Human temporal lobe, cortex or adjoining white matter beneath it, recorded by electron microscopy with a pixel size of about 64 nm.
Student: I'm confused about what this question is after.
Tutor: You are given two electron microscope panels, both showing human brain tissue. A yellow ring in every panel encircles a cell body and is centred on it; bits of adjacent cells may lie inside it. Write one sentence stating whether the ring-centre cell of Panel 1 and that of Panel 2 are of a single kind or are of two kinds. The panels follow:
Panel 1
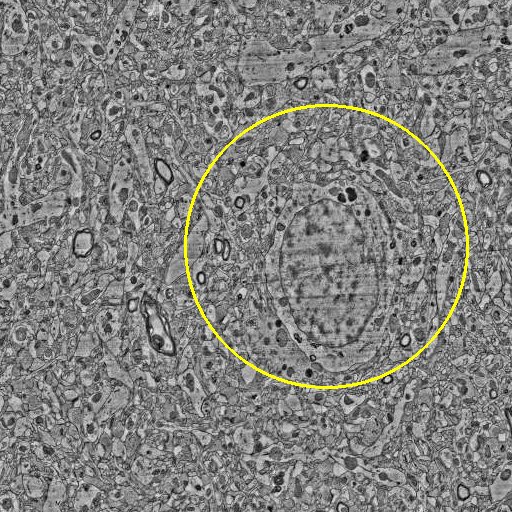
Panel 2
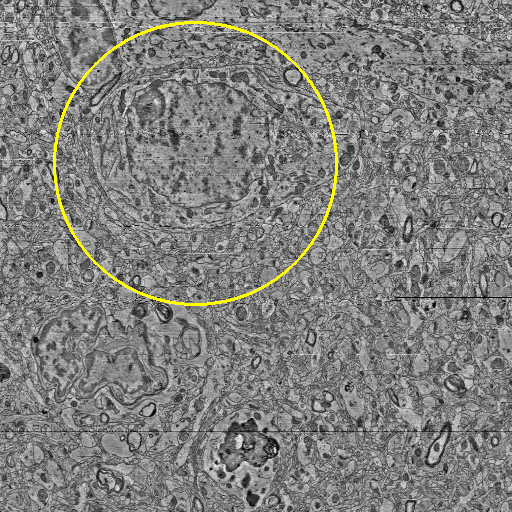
Here, the Panel 1 ring-centre cell and the Panel 2 ring-centre cell are of a single kind.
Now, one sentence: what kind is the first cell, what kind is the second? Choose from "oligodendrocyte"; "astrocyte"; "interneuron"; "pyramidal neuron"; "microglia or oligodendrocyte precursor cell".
In each of the two pictures, the ringed cell is an interneuron.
